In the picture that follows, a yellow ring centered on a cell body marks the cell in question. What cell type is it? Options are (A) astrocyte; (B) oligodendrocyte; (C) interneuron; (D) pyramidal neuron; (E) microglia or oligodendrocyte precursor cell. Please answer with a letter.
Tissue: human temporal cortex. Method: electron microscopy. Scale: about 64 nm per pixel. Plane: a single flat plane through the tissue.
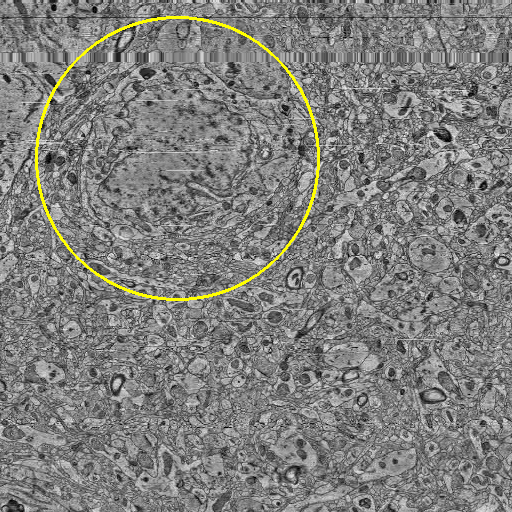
C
